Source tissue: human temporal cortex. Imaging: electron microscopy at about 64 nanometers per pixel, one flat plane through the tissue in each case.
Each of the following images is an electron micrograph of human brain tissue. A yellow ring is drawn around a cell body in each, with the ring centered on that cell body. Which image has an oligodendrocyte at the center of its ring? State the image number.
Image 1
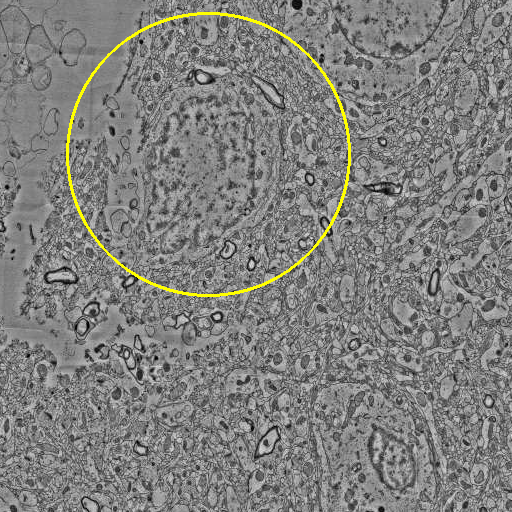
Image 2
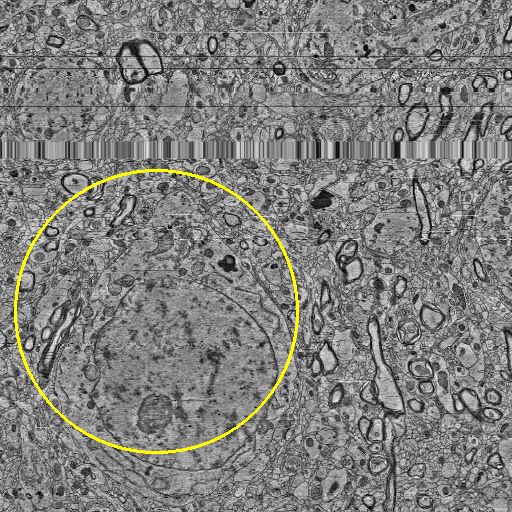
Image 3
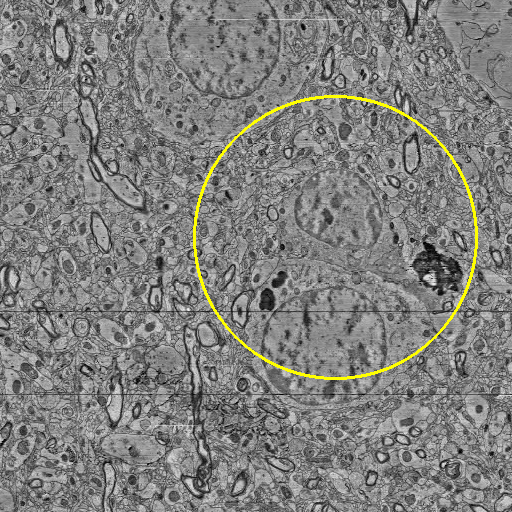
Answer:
3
